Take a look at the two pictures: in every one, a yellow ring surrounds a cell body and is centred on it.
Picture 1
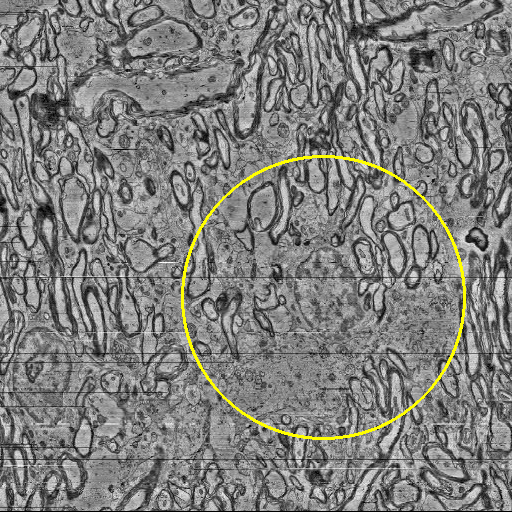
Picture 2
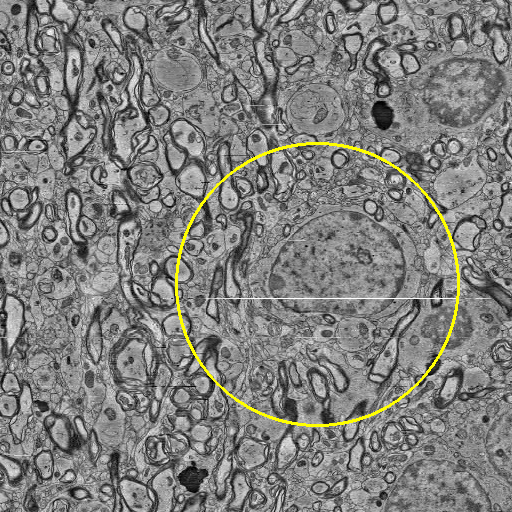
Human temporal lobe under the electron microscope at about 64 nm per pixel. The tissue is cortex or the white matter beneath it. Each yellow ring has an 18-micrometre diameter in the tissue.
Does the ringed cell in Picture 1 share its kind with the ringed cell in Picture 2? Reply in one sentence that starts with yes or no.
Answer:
No, the two centred cells, one per picture, are of two kinds.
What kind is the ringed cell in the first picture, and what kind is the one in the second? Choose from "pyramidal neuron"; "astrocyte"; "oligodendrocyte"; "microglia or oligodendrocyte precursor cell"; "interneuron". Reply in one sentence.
The first cell is an oligodendrocyte; the second is a microglial cell or oligodendrocyte precursor cell.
